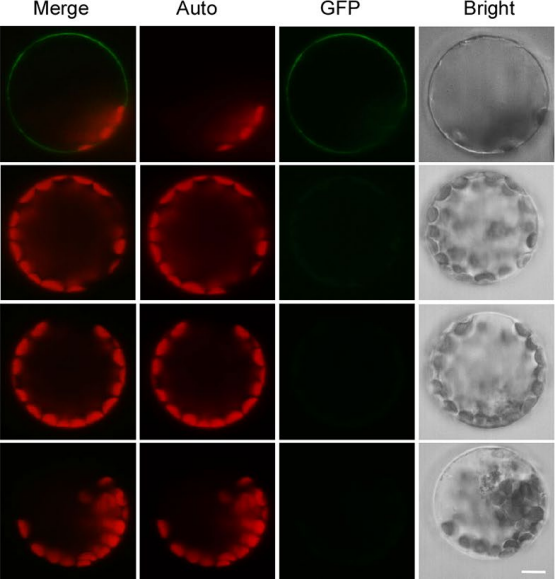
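These are isolated leaf mesophyll protoplasts. Each cell is spherical, with a smooth round outline. In the top row a thin, continuous green ring traces the outer boundary of the cell. In the lower rows no green is seen and only the red bodies appear.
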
